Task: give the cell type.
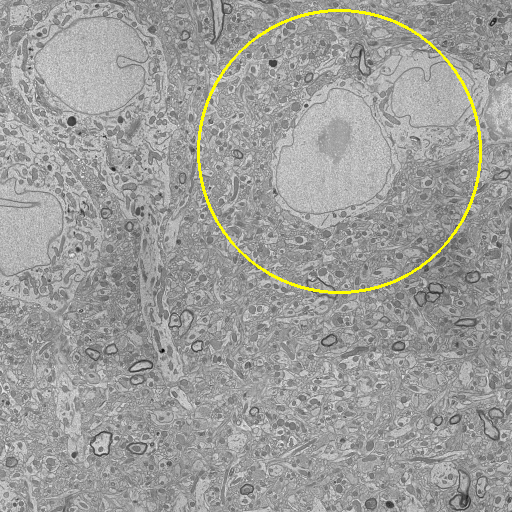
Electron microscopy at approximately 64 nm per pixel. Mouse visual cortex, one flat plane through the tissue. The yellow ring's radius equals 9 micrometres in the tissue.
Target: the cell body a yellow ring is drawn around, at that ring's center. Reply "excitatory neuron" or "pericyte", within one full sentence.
In this picture, the cell whose body lies at the ring's center is an excitatory neuron.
